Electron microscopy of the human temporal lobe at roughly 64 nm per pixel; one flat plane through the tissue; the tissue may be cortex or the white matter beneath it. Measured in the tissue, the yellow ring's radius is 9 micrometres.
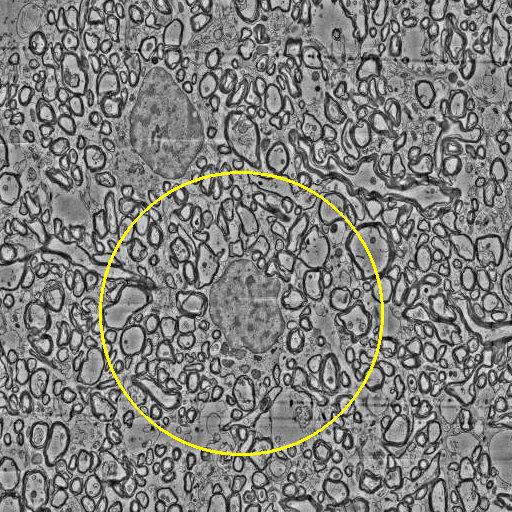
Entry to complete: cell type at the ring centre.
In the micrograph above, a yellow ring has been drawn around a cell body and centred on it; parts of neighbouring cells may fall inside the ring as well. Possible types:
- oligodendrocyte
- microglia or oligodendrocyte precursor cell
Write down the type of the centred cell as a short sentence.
The ring is centred on an oligodendrocyte.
